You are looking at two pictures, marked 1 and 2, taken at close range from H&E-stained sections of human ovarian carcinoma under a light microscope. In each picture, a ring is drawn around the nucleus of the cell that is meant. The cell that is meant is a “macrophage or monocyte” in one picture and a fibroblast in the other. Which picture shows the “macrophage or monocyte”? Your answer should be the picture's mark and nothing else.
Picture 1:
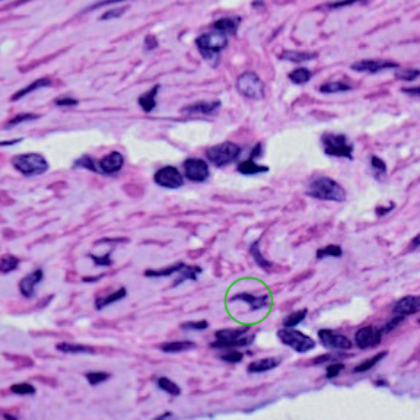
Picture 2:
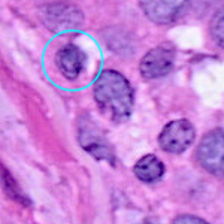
2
